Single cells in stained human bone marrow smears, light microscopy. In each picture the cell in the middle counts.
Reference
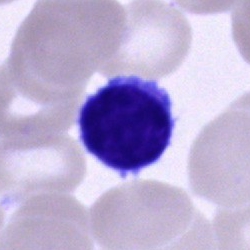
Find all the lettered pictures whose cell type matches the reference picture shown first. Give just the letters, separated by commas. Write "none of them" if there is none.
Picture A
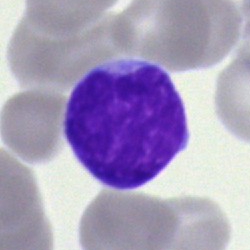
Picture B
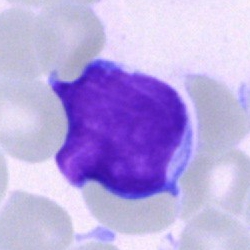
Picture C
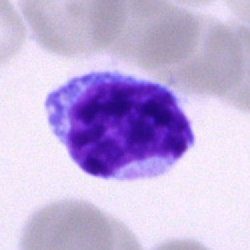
C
